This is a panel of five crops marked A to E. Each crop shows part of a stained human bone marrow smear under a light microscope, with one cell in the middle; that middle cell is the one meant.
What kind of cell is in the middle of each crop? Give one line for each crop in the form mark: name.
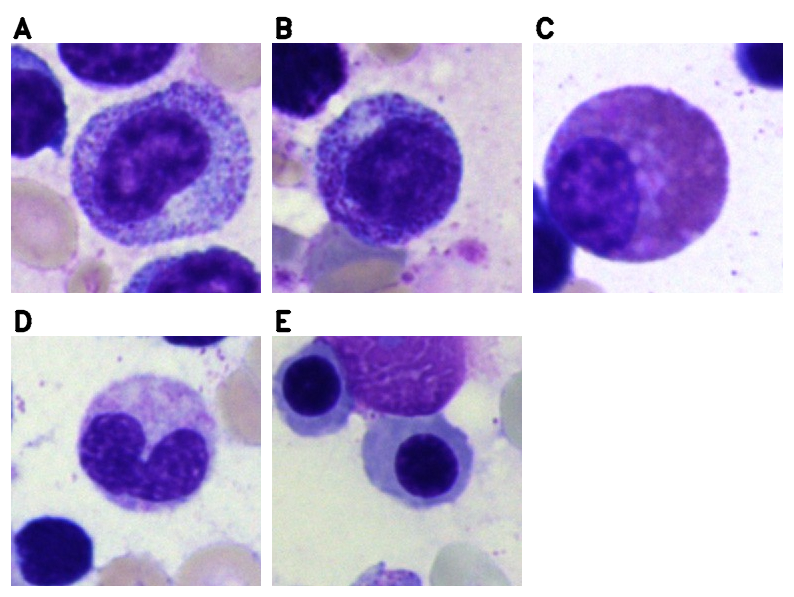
A: myelocyte
B: myelocyte
C: eosinophil
D: band neutrophil
E: normoblast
